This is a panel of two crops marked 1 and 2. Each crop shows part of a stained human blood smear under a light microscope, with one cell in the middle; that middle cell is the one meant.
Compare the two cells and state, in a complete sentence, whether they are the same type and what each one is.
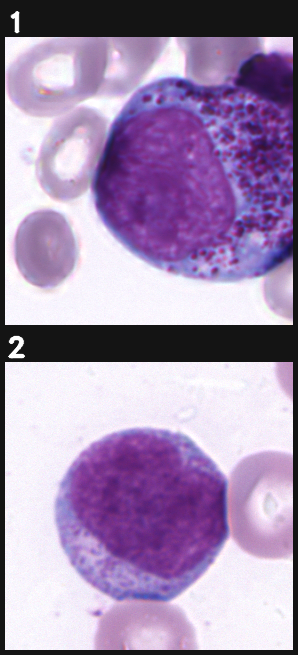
Yes, the central cells of both crops are promyelocytes.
